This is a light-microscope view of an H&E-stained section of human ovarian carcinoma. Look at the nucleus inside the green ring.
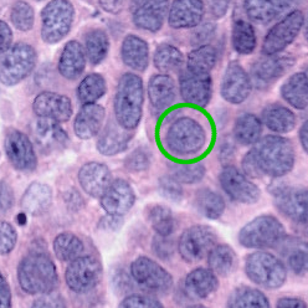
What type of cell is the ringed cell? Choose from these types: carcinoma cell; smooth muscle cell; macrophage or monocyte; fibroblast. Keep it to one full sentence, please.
On this particular slide, the ringed cell is a carcinoma cell.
